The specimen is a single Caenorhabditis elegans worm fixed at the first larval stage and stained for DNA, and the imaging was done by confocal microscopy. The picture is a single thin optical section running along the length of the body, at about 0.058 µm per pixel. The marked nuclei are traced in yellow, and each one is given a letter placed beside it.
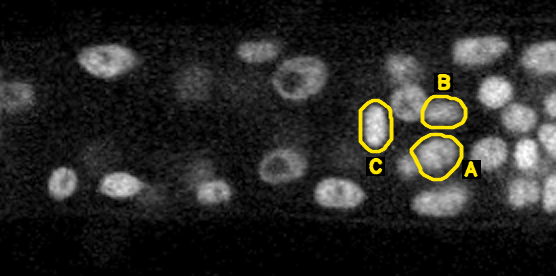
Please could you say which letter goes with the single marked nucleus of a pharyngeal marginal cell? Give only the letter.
B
